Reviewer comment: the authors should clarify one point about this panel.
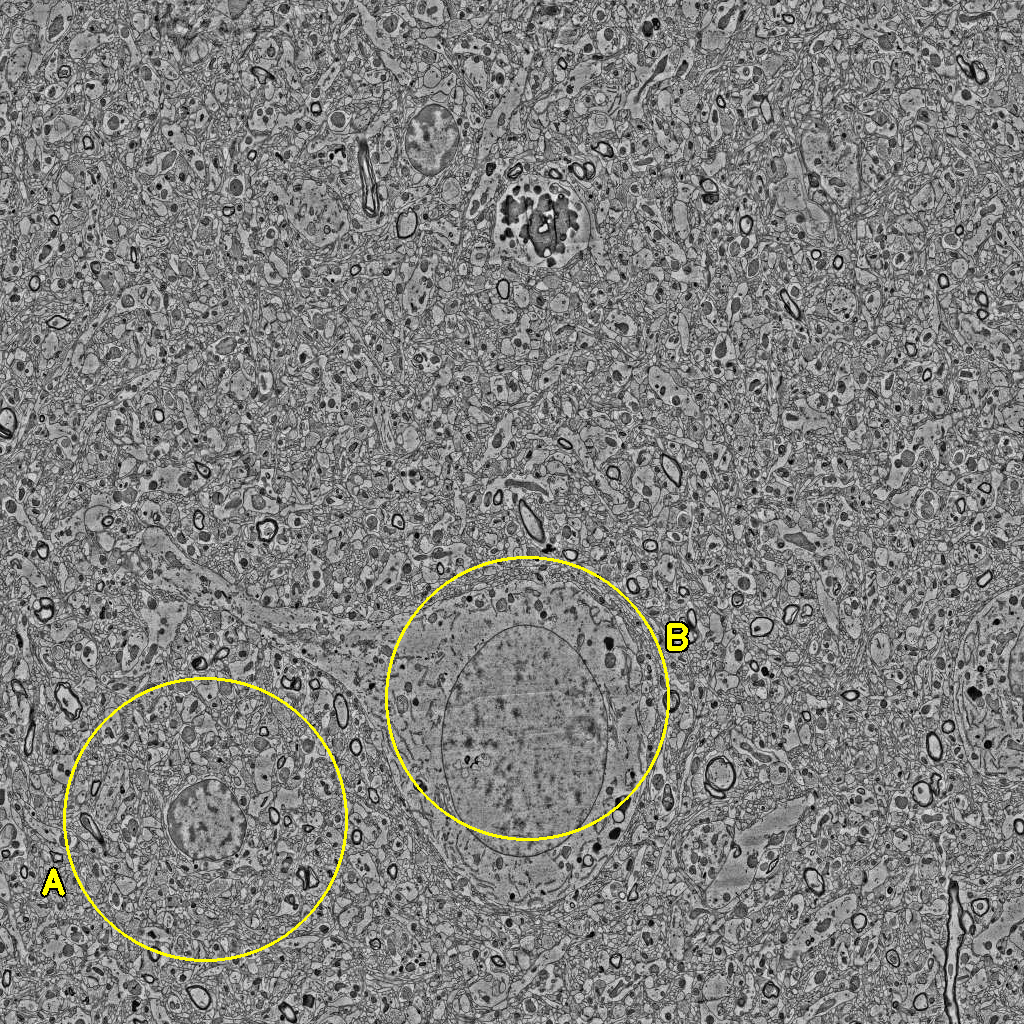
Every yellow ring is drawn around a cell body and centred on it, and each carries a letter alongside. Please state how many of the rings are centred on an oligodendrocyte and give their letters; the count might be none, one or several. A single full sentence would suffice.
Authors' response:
It turns out that no ring is centred on an oligodendrocyte, so the count is zero.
